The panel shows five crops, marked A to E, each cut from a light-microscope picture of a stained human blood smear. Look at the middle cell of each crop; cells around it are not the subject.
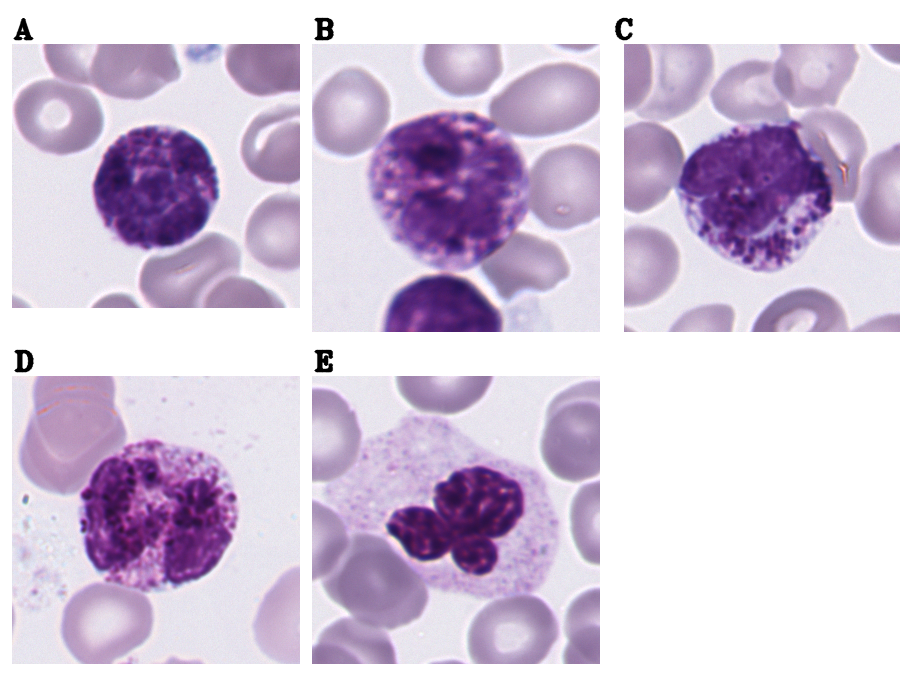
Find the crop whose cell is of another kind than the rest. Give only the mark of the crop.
E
